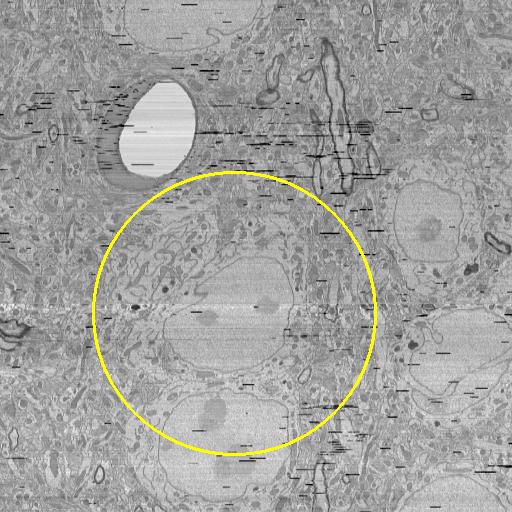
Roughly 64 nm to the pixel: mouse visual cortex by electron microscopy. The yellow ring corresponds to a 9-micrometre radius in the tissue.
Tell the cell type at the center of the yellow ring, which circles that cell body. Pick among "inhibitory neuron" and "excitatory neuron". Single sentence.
The ring is centered on the body of an excitatory neuron.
